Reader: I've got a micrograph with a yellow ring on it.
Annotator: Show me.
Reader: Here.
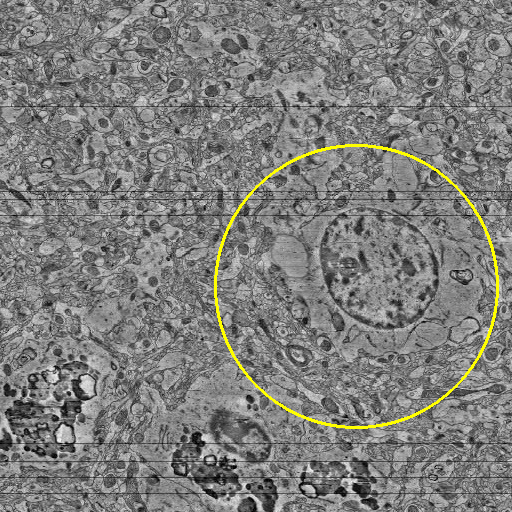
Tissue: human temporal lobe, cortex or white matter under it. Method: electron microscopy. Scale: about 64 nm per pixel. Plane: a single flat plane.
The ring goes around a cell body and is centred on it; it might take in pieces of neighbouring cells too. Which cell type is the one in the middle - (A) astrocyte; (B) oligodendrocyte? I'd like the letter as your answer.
A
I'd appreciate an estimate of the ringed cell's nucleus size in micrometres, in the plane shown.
Roughly 8 by 7 micrometres is the size of the nucleus in this plane.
